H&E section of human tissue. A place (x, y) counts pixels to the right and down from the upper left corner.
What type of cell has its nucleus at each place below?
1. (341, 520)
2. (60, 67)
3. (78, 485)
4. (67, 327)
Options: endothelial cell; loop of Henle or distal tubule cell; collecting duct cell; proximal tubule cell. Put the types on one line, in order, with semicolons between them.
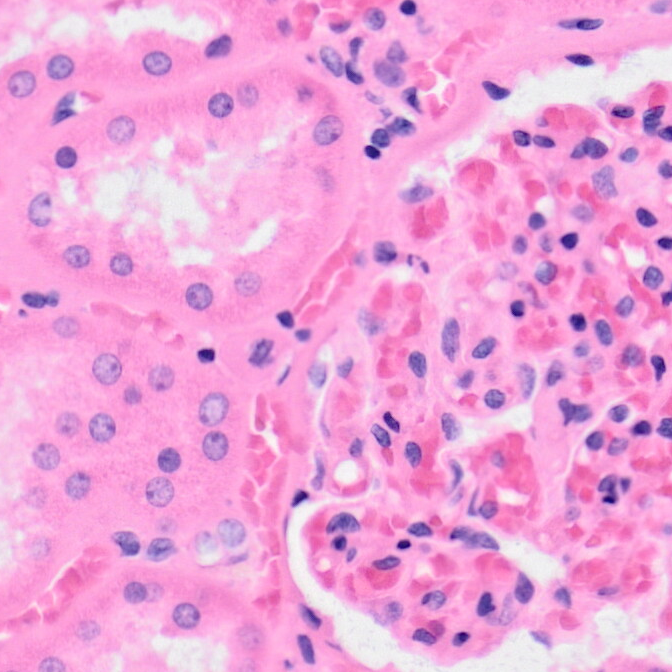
endothelial cell; proximal tubule cell; proximal tubule cell; proximal tubule cell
